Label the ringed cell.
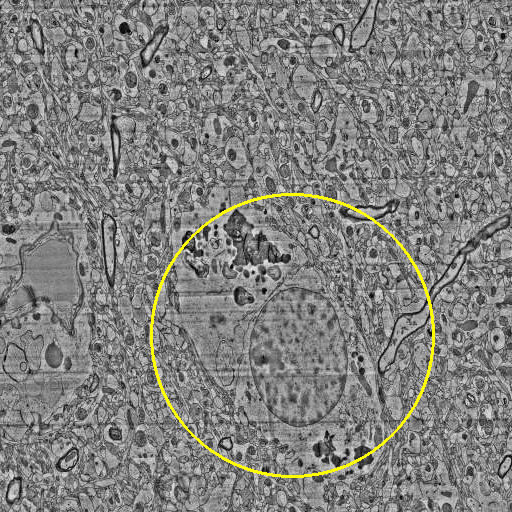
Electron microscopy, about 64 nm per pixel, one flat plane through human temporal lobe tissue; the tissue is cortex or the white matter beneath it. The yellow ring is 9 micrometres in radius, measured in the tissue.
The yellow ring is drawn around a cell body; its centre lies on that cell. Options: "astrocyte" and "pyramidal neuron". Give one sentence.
The ringed cell is an astrocyte.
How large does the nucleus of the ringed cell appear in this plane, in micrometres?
In this plane, roughly 9 by 6 micrometres.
